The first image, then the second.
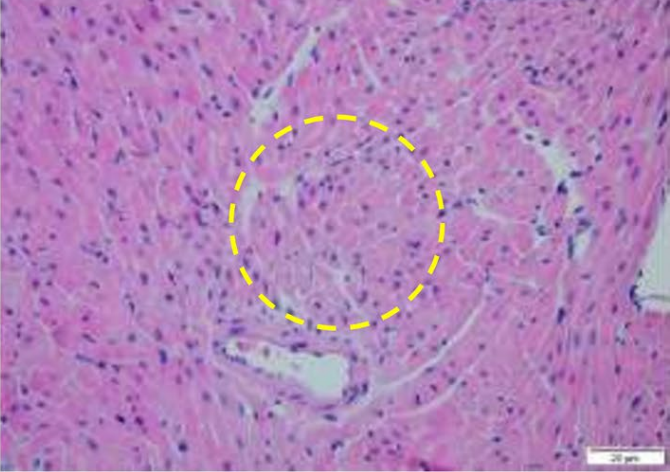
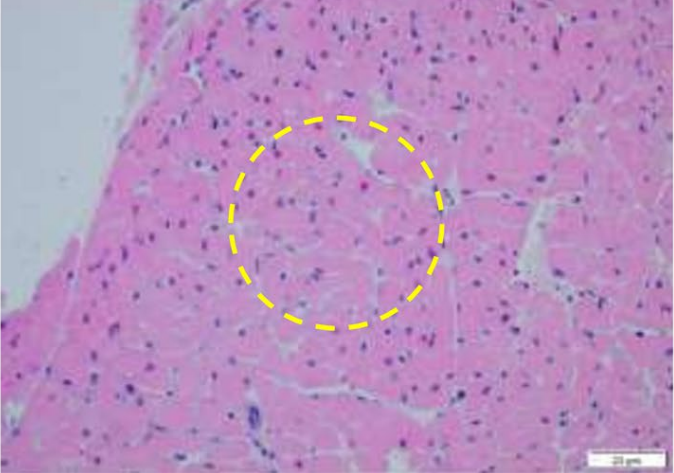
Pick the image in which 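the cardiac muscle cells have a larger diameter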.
The second image.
